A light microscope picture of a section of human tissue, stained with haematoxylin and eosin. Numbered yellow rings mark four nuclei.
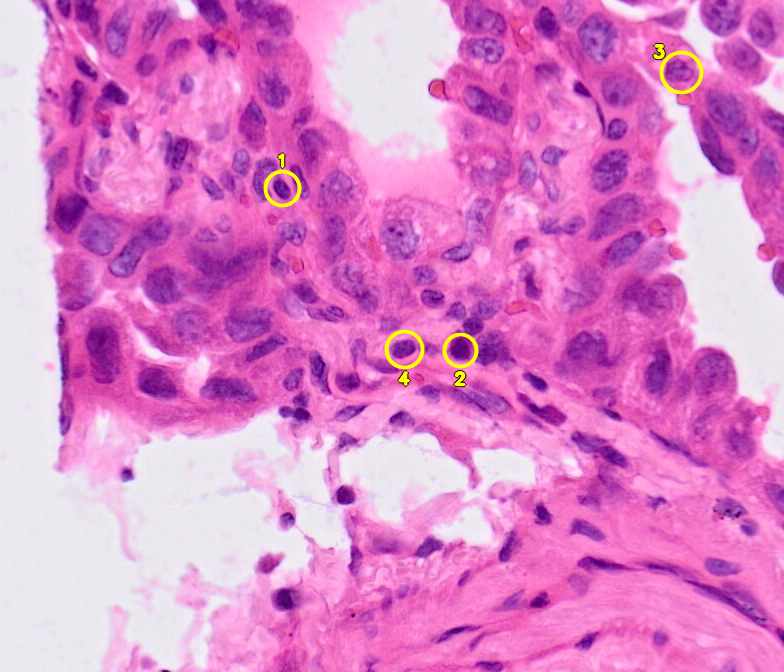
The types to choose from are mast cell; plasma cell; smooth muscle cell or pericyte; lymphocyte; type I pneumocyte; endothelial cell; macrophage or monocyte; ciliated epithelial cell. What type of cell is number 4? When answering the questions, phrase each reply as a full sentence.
Among the marked cells, number 4 is a lymphocyte.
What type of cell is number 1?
The cell marked with the number 1 is a lymphocyte.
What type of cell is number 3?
The label 3 in this section denotes a macrophage or monocyte.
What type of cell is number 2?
Heads up, the cell numbered 2 is a plasma cell.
